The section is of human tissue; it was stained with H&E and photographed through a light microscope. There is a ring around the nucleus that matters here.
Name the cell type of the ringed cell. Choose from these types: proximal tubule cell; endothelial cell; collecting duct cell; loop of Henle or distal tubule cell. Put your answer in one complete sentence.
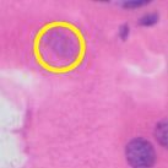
To be brief about it, the ringed cell is a proximal tubule cell.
